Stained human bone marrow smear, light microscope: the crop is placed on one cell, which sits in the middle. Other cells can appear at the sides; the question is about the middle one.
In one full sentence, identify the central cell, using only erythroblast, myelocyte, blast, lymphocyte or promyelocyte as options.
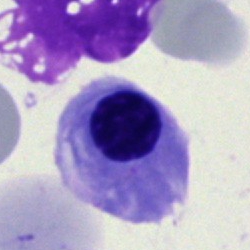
In the center of this field lies an erythroblast.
